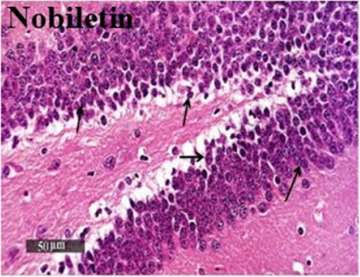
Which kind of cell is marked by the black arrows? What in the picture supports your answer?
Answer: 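Intact granule cells. The arrowed cells are small round cells with round purple nuclei. They are packed closely in a continuous band.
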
